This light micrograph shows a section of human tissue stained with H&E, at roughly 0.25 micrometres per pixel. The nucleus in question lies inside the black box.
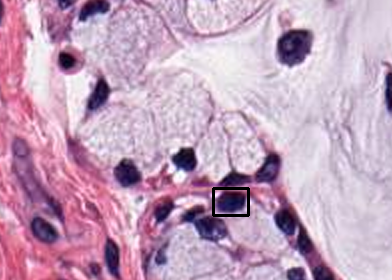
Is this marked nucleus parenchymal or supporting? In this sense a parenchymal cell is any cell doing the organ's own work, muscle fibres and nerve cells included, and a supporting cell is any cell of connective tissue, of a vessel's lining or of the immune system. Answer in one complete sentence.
Within a parenchymal cell, namely a mucous gland cell, sits the marked nucleus.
